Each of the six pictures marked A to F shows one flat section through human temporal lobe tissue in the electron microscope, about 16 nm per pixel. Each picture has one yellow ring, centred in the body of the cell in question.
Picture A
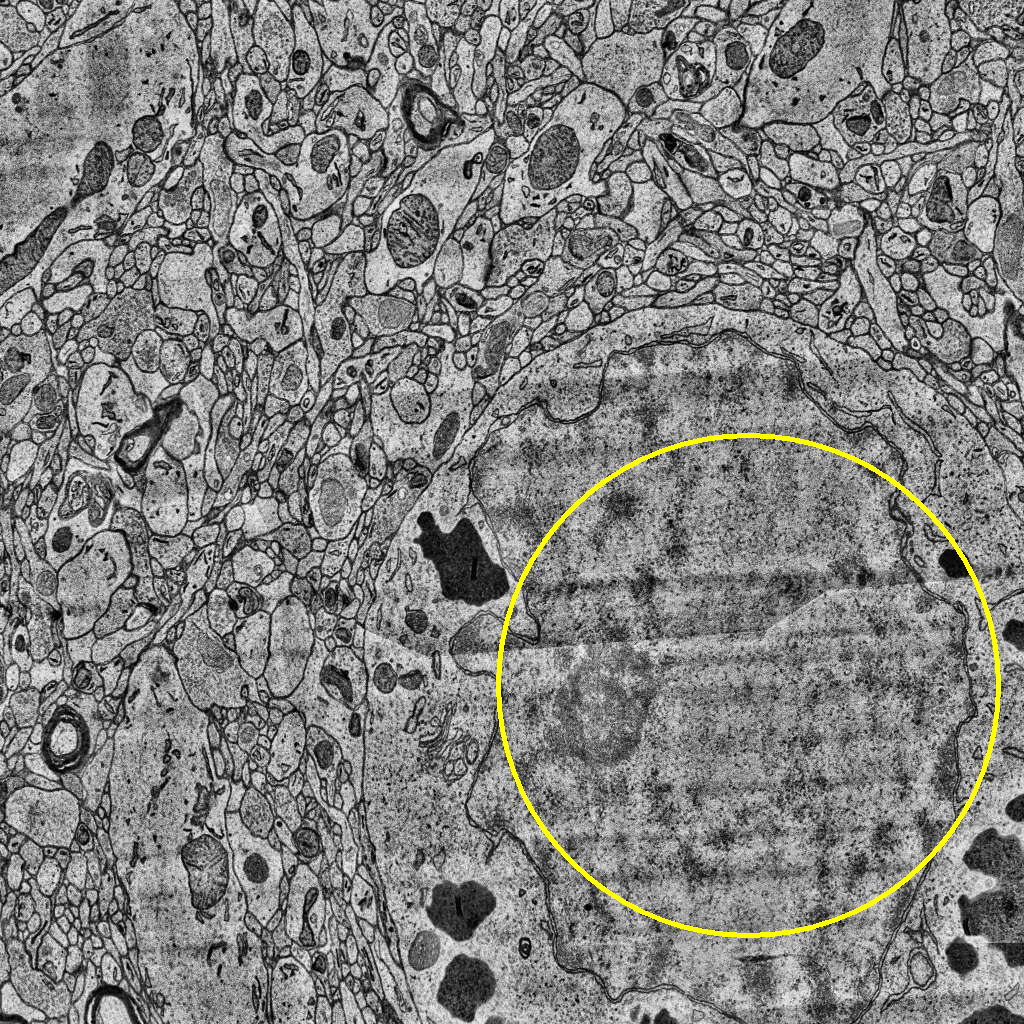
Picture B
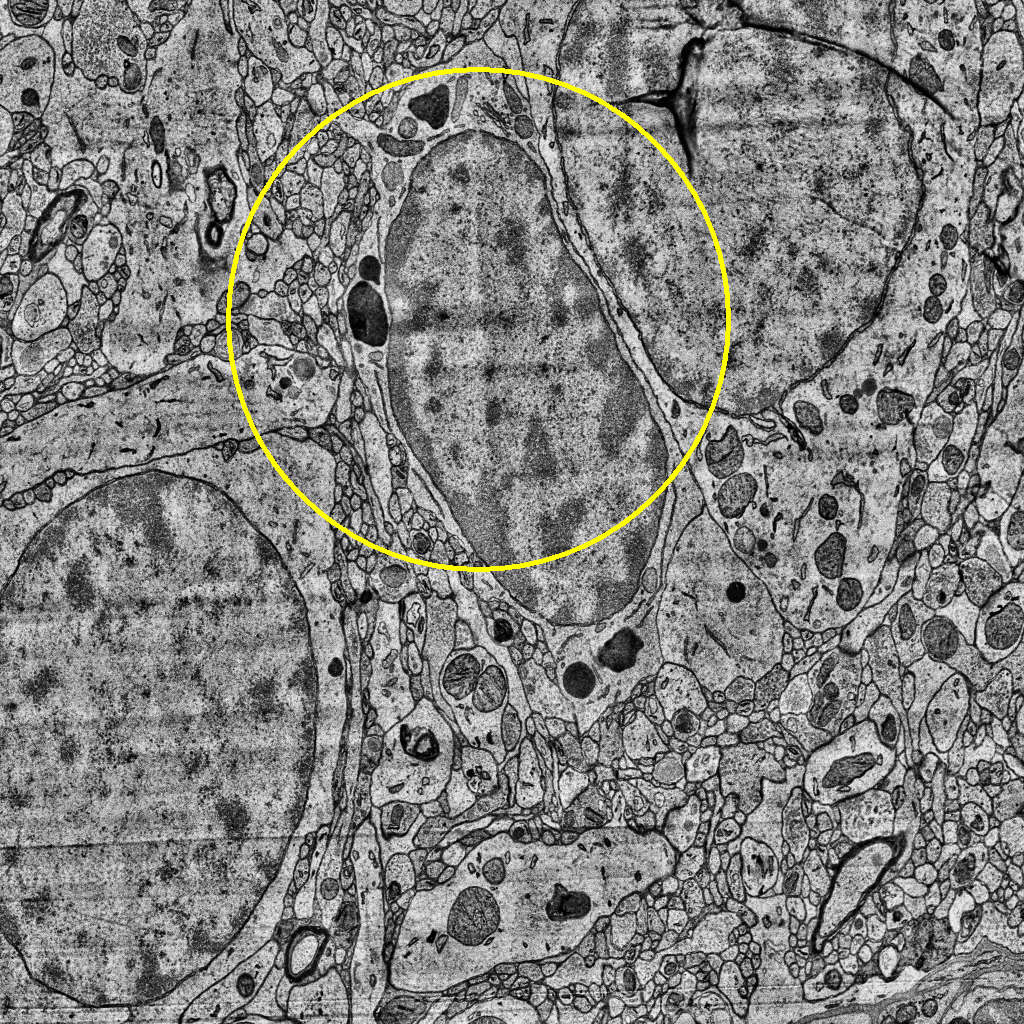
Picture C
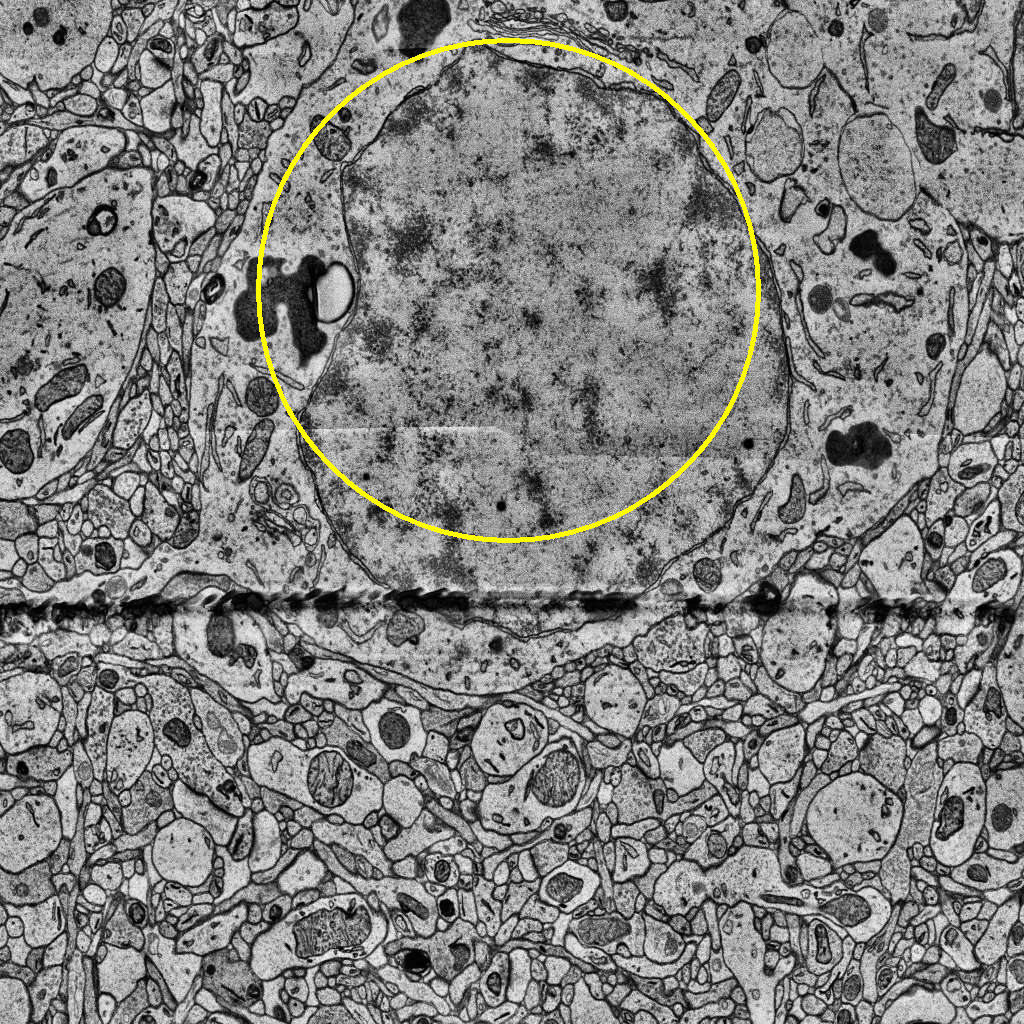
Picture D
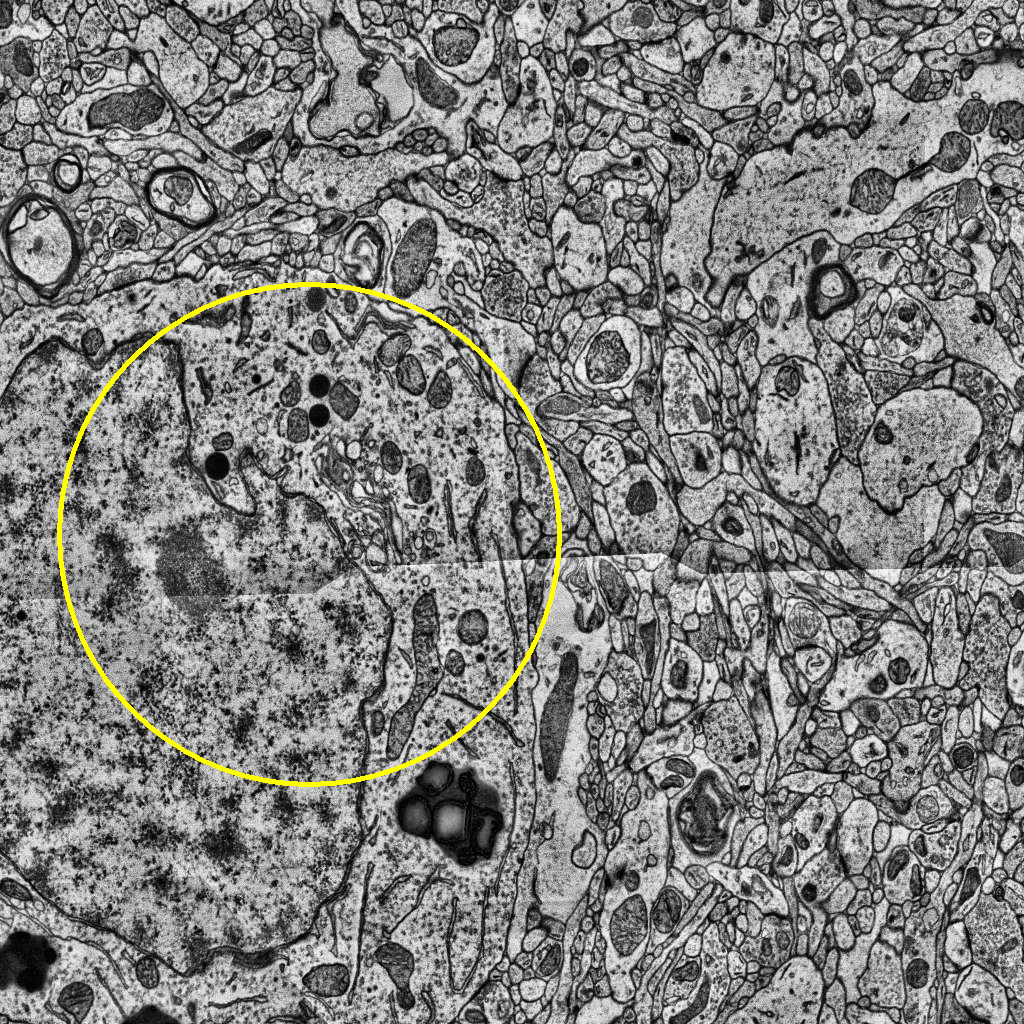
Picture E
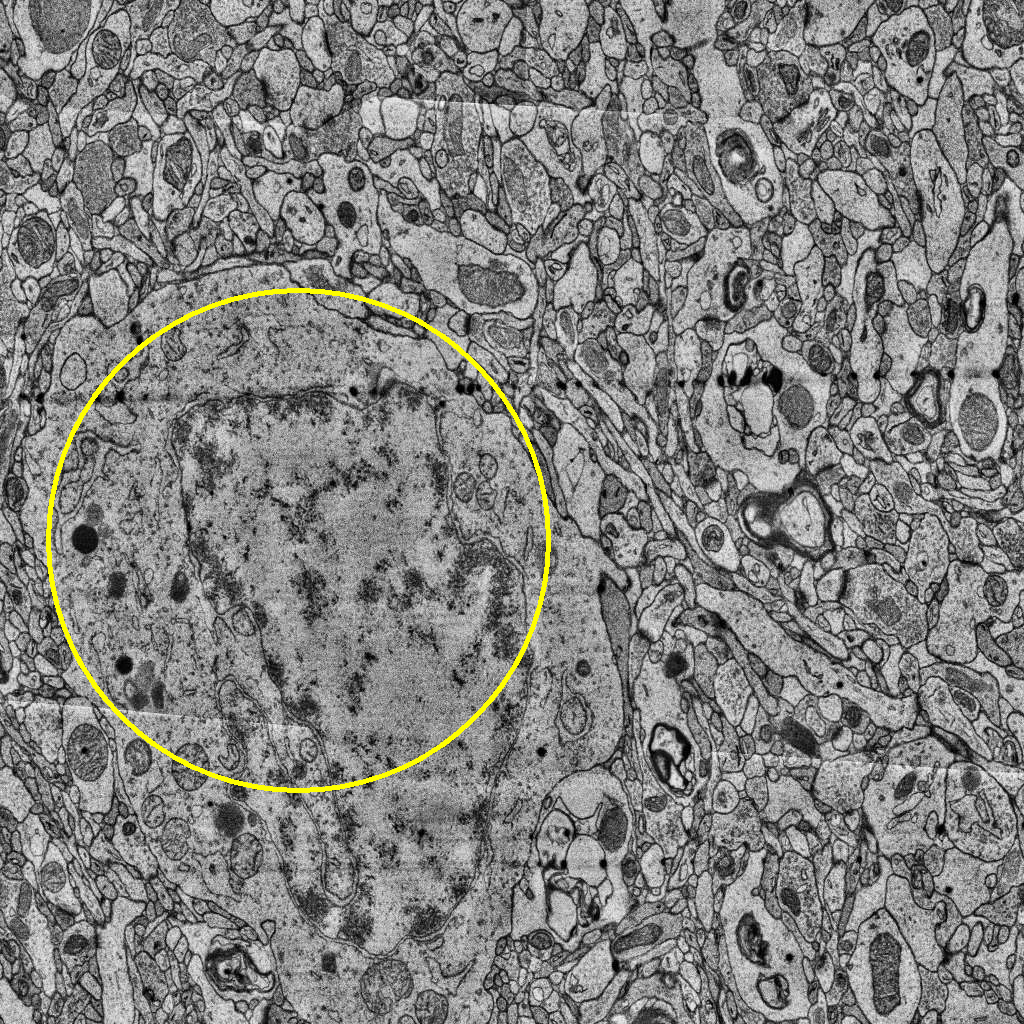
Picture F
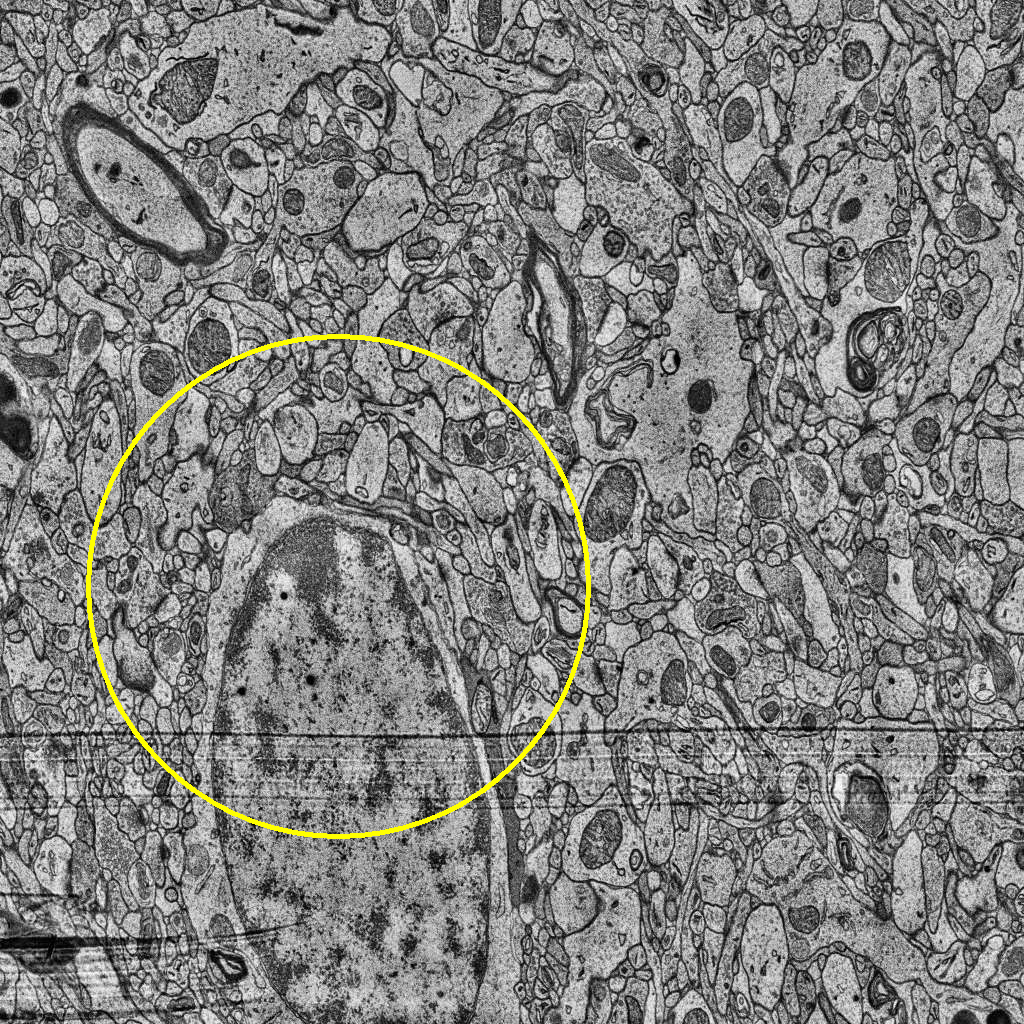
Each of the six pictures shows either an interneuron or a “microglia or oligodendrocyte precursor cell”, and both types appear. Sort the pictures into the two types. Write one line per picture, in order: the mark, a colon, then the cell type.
A: interneuron
B: microglia or oligodendrocyte precursor cell
C: interneuron
D: interneuron
E: interneuron
F: microglia or oligodendrocyte precursor cell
